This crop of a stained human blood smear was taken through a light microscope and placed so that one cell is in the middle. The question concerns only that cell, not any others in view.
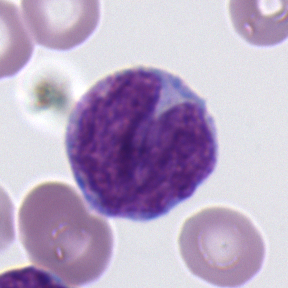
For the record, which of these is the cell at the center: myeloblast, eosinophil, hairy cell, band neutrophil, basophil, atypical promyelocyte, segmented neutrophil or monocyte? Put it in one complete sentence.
The central cell, amid any neighbouring cells, is an atypical promyelocyte.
